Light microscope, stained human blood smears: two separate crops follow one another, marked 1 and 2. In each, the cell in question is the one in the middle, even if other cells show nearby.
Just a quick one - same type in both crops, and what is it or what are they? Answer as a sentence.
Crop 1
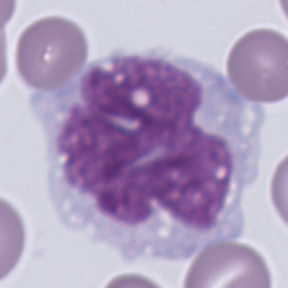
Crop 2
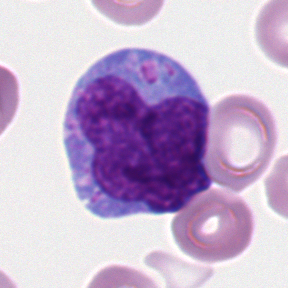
No, crop 2 centres on an atypical promyelocyte, and crop 1 centres on a monocyte.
